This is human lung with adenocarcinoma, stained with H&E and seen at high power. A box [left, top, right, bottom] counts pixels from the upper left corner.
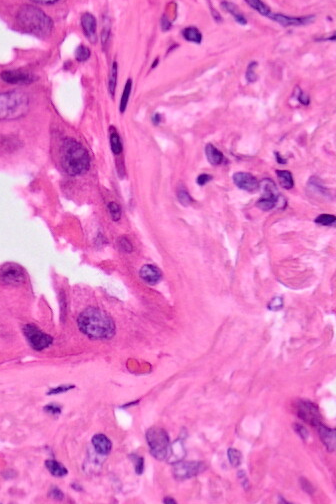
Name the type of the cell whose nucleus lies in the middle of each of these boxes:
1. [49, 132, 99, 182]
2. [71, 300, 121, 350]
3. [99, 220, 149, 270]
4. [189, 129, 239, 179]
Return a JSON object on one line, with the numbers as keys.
{"1": "carcinoma cell", "2": "carcinoma cell", "3": "macrophage or monocyte", "4": "plasma cell"}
